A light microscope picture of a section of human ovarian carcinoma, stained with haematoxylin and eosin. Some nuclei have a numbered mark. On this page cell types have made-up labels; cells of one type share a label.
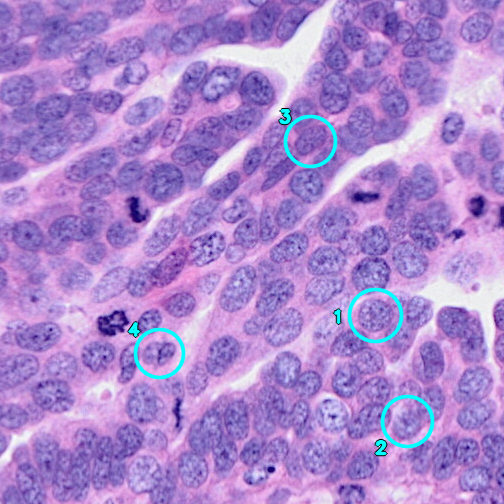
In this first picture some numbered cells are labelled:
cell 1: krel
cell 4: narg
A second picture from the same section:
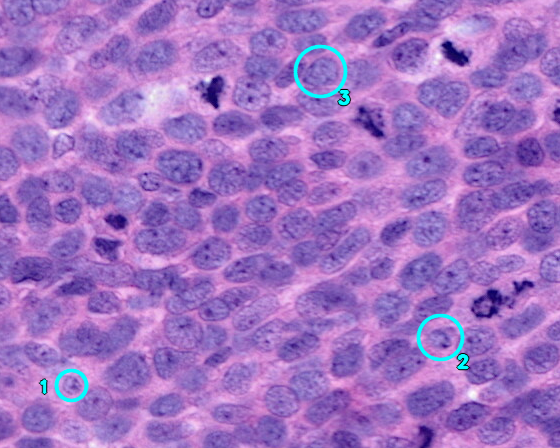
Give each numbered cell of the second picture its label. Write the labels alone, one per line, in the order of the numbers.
narg
narg
krel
